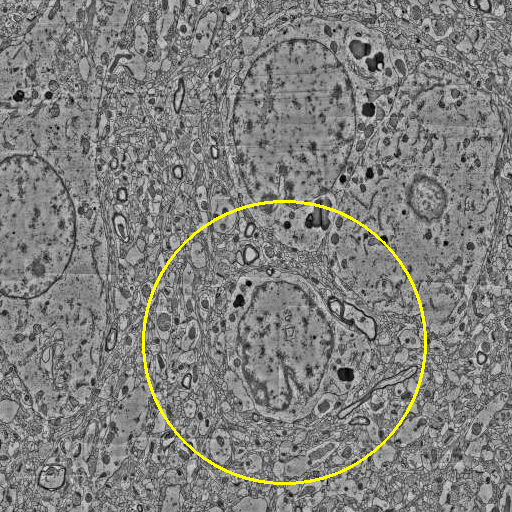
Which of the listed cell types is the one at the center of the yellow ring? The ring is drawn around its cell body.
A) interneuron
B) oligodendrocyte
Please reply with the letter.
A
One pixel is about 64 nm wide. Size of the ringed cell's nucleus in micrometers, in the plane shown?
About 8 micrometres by about 6 micrometres in this plane.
